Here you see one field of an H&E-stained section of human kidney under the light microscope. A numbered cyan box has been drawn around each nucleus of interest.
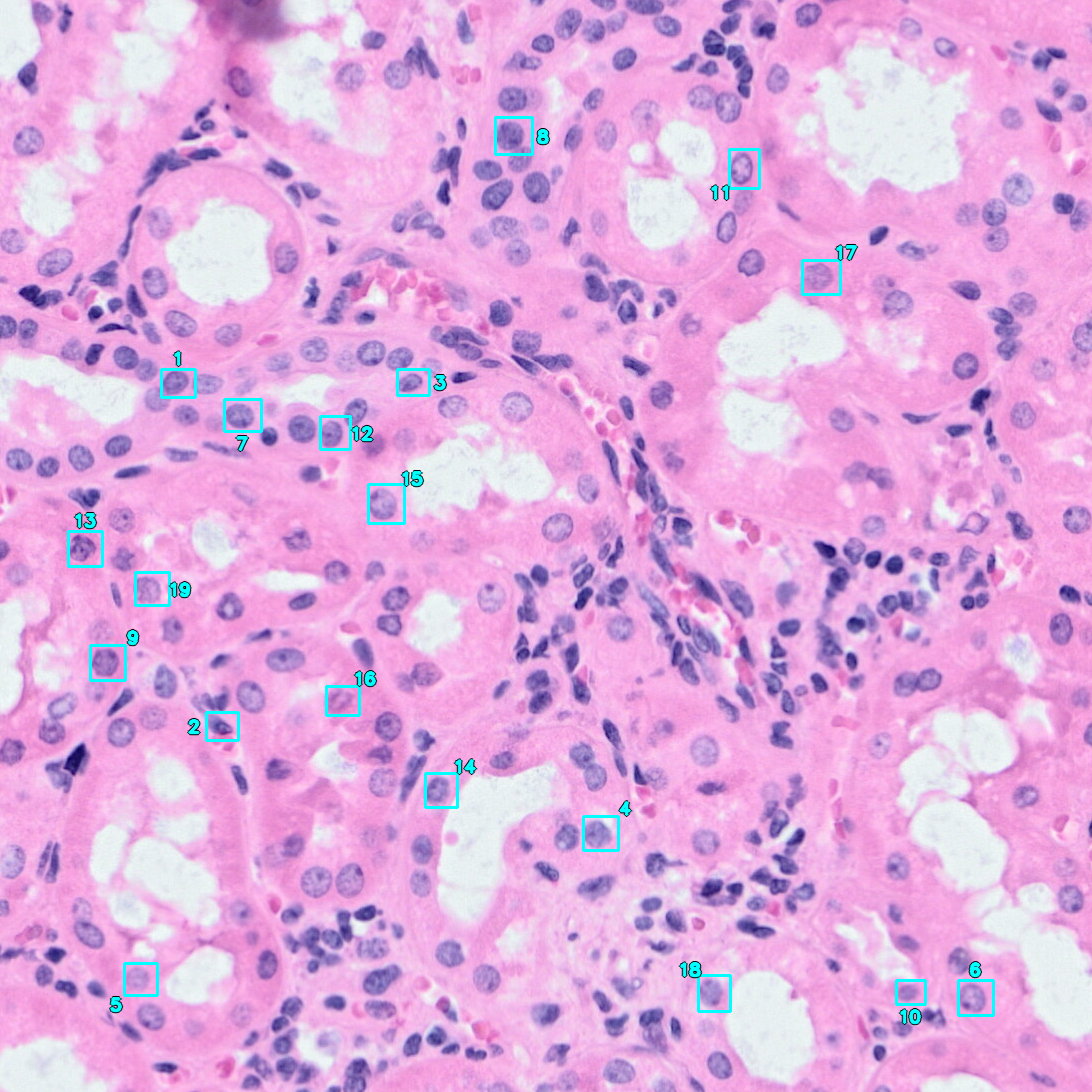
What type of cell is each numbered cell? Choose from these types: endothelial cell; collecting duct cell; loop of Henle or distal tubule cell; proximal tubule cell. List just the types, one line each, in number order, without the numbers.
collecting duct cell
endothelial cell
collecting duct cell
loop of Henle or distal tubule cell
proximal tubule cell
proximal tubule cell
collecting duct cell
collecting duct cell
proximal tubule cell
loop of Henle or distal tubule cell
proximal tubule cell
collecting duct cell
proximal tubule cell
loop of Henle or distal tubule cell
proximal tubule cell
proximal tubule cell
proximal tubule cell
loop of Henle or distal tubule cell
proximal tubule cell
